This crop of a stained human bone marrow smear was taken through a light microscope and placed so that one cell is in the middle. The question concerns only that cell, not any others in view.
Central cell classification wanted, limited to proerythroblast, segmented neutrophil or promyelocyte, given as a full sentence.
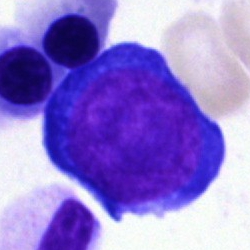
The cell in the exact centre of the crop is a proerythroblast.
